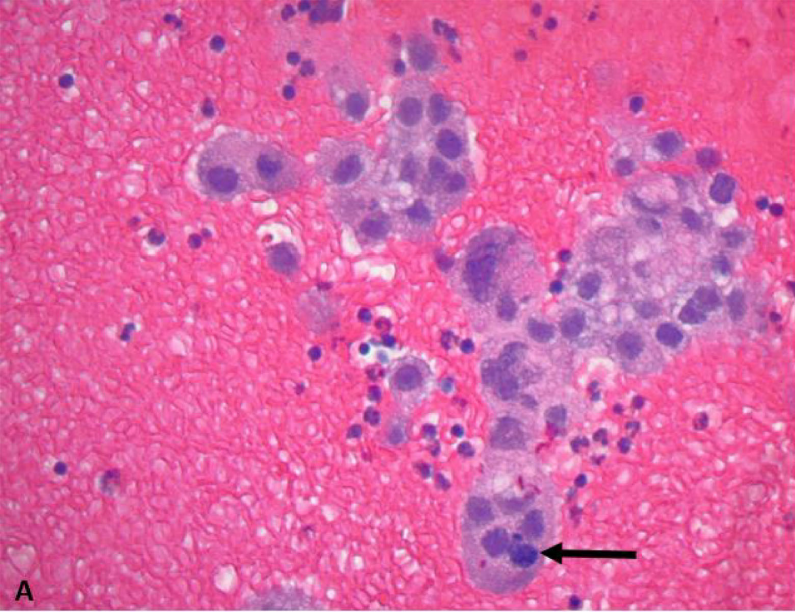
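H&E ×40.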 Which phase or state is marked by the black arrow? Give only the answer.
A: Mitosis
